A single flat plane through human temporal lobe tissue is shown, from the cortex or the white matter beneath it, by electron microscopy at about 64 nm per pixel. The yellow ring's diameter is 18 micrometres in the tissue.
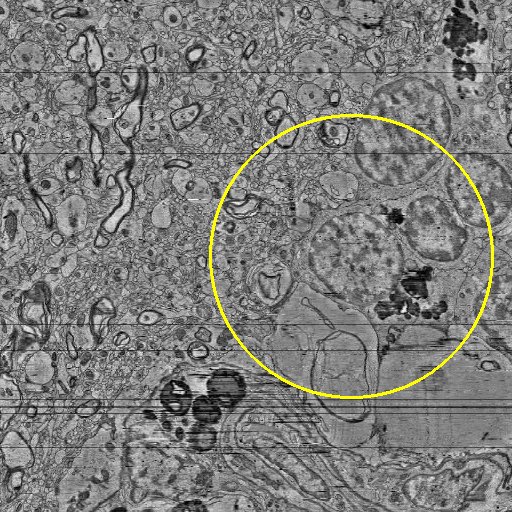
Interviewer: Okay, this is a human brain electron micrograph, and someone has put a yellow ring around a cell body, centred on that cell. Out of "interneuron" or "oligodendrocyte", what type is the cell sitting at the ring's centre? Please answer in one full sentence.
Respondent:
The cell at the centre of the yellow ring in this picture is an oligodendrocyte.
